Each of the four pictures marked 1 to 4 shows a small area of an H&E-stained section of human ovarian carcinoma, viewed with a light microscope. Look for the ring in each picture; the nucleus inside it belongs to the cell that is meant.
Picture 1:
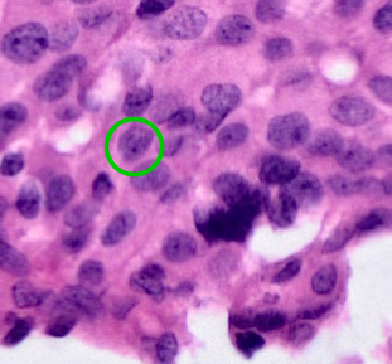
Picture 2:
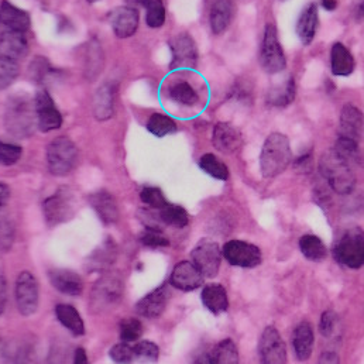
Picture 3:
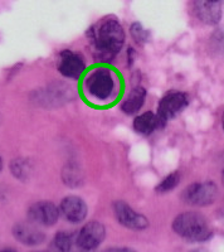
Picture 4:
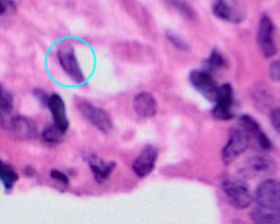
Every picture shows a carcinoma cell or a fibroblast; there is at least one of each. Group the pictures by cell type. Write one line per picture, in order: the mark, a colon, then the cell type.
1: carcinoma cell
2: carcinoma cell
3: carcinoma cell
4: fibroblast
